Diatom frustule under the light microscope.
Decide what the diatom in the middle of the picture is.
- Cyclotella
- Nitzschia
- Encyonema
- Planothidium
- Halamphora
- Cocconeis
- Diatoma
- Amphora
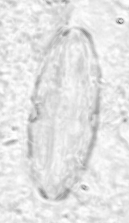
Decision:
Halamphora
